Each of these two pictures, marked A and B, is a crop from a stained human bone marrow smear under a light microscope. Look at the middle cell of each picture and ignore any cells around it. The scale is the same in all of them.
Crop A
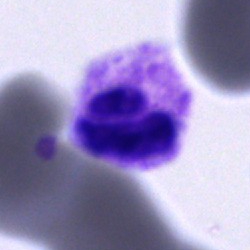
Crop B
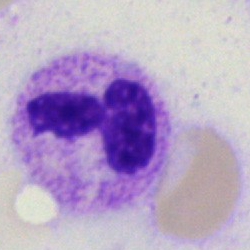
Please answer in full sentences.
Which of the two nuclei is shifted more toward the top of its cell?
Seen within its cell, the nucleus in crop B lies further toward the top.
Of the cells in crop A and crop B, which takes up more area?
The cell in crop B is larger, with about 1.5 times the area of the one in crop A.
